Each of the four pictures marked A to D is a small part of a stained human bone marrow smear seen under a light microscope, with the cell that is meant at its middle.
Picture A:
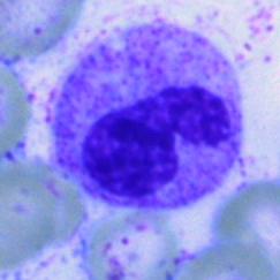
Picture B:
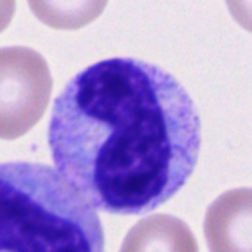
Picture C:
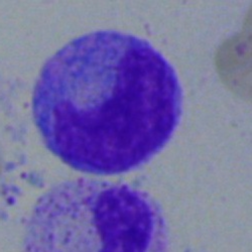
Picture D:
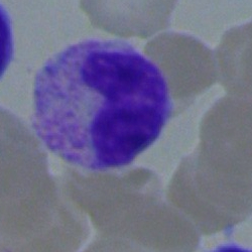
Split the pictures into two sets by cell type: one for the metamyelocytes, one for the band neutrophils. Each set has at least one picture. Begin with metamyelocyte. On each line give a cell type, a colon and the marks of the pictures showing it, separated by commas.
metamyelocyte: B, C, D
band neutrophil: A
